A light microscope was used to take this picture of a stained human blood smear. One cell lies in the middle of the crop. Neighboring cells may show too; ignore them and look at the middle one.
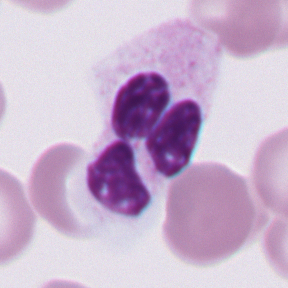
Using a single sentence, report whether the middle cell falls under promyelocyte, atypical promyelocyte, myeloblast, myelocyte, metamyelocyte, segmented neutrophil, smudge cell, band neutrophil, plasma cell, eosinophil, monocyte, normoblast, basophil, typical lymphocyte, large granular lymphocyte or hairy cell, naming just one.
As for the central cell, it is a segmented neutrophil.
